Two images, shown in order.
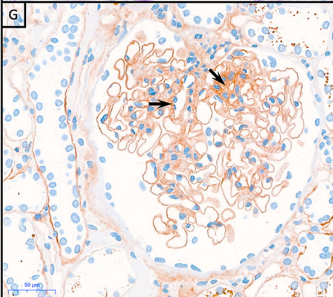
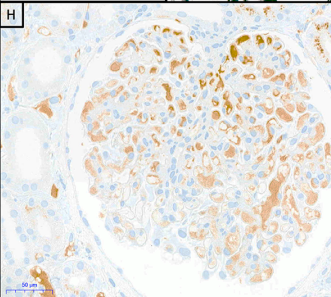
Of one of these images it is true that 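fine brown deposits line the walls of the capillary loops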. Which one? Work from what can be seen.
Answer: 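Second image: brown colour lies in blobs within cells and lumina, the capillary loop walls are not outlined in brown. First image: thin brown lines trace the capillary loop walls throughout the tuft. That points to this answer: the first image.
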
